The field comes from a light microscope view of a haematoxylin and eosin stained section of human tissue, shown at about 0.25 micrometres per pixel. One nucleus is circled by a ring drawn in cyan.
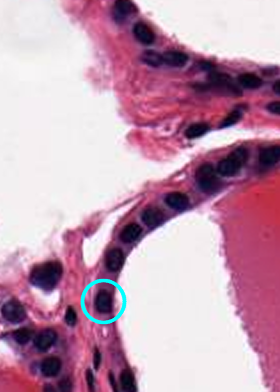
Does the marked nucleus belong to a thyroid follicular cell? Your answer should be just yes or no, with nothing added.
yes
